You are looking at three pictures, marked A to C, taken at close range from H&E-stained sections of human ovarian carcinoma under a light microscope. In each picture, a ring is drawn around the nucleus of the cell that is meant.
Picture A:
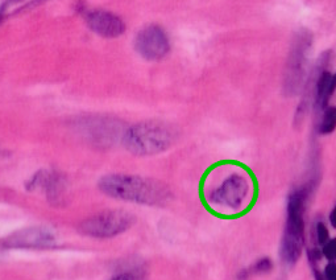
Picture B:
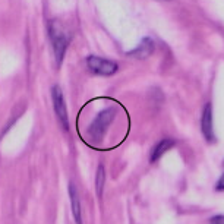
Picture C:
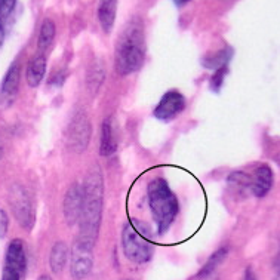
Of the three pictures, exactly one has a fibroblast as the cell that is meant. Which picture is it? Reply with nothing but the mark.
B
